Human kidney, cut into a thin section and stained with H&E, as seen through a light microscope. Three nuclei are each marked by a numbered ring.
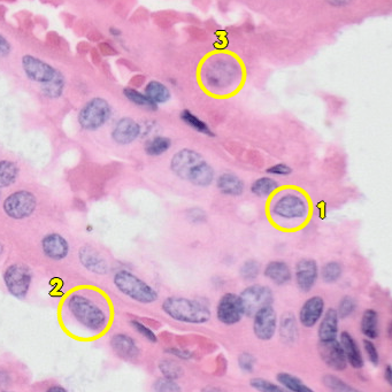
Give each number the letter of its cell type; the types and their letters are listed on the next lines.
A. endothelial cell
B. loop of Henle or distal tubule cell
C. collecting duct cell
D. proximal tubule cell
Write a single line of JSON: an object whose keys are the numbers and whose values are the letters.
{"1": "C", "2": "B", "3": "D"}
